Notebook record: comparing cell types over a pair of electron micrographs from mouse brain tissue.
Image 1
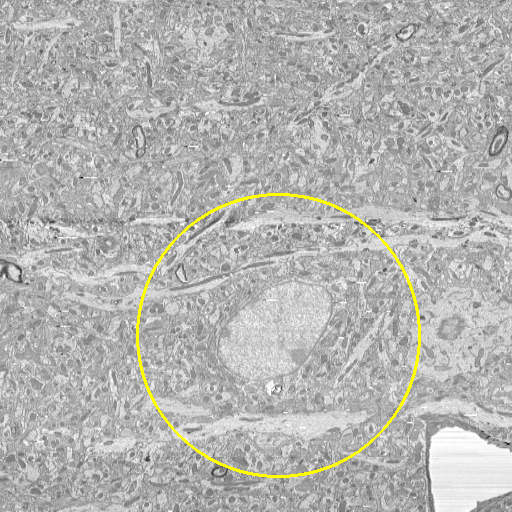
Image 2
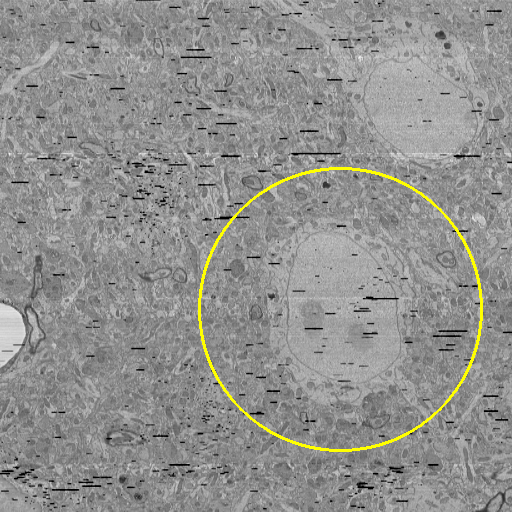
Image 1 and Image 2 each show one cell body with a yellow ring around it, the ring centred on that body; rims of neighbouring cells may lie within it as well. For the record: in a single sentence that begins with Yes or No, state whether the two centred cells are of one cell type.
No, two cell types are found among the centred cells of Image 1 and Image 2.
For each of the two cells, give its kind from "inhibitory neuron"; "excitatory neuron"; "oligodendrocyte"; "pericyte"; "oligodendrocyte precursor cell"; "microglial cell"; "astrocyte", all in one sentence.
The first picture has an astrocyte in its ring, the second has an excitatory neuron.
